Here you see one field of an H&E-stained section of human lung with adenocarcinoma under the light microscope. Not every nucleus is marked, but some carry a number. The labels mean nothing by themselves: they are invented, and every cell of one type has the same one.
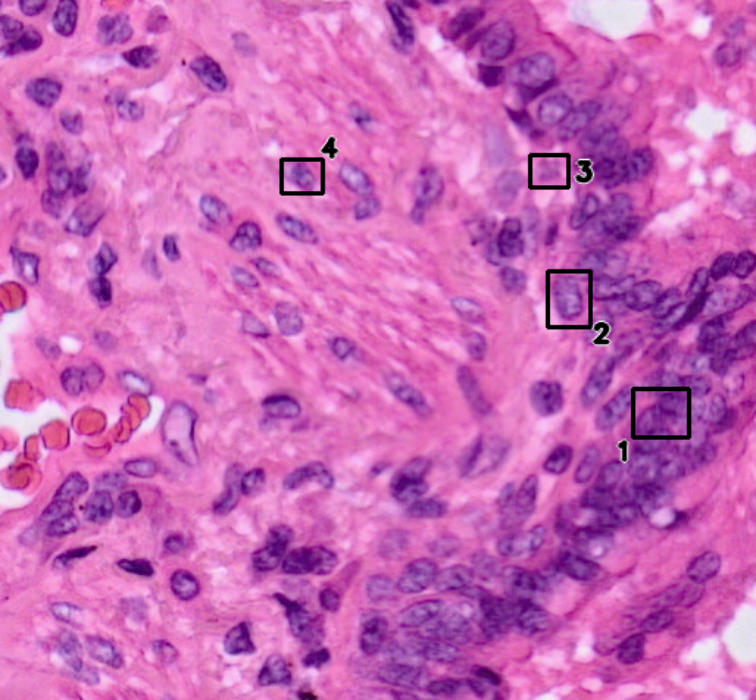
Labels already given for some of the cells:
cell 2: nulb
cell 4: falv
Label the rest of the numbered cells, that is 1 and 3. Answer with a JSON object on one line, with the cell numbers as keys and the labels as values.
{"1": "nulb", "3": "nulb"}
